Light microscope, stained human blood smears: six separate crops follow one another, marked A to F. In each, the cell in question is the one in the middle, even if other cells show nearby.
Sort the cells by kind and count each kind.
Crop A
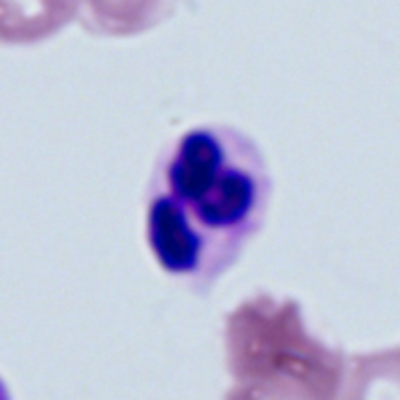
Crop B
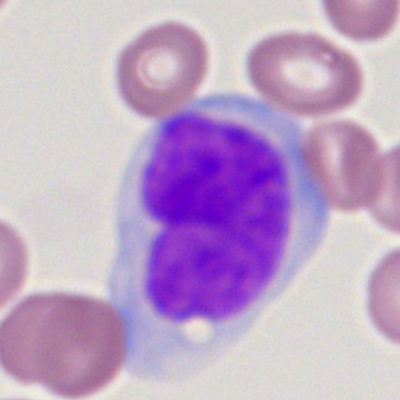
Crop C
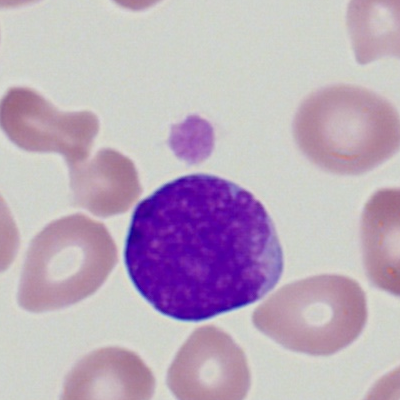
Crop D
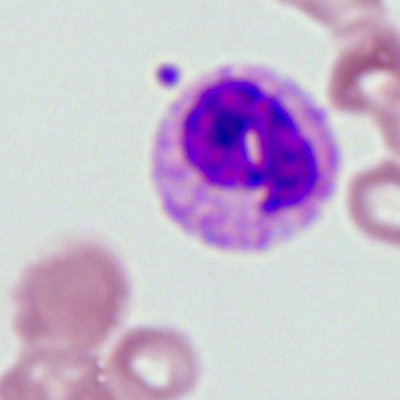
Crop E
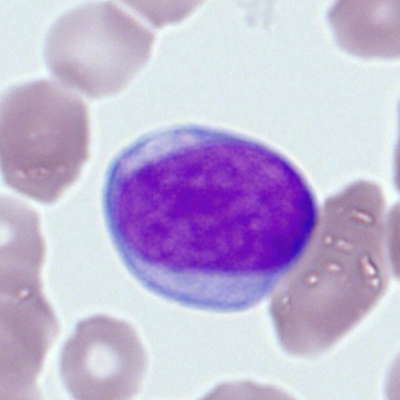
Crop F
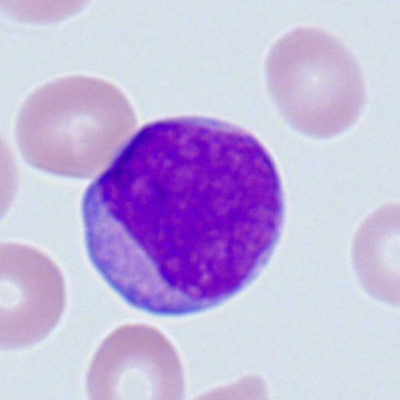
myeloblast: 3
segmented neutrophil: 2
monocyte: 1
